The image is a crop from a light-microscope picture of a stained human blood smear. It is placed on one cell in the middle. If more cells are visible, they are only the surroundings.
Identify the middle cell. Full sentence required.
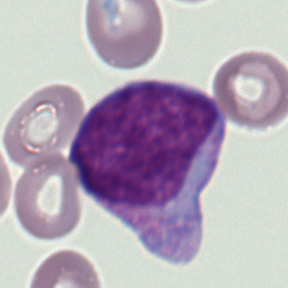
The cell sitting right in the middle is an atypical promyelocyte.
